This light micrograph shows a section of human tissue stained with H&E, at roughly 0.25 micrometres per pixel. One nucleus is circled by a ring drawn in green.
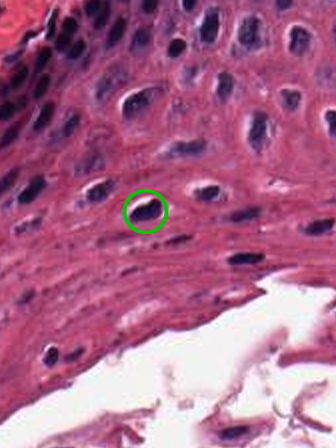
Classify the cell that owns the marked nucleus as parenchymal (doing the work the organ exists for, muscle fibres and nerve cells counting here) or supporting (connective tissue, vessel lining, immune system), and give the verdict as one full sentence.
A parenchymal cell holds the marked nucleus, and that cell is a squamous epithelial cell.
